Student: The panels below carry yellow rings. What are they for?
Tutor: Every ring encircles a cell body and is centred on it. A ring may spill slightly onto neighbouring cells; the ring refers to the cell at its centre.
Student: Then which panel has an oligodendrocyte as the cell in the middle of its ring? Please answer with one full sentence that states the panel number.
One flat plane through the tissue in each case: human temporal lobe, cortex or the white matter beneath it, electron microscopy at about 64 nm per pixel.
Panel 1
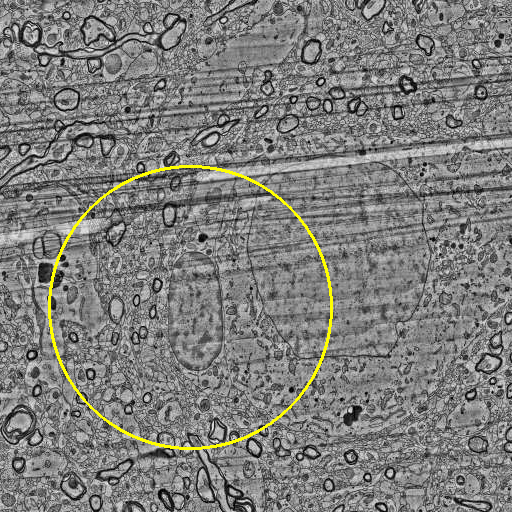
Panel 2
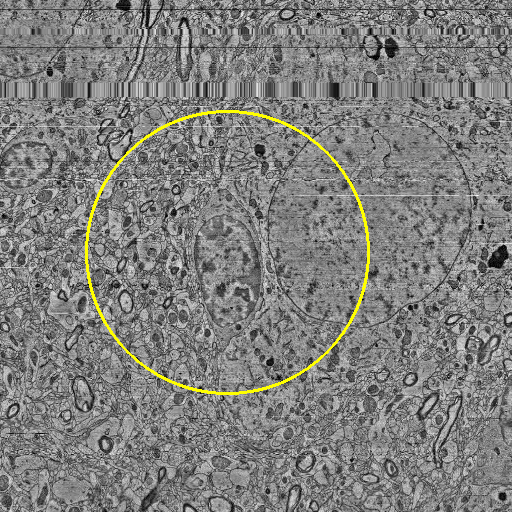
In Panel 2, the cell centred in the ring is the one sought.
